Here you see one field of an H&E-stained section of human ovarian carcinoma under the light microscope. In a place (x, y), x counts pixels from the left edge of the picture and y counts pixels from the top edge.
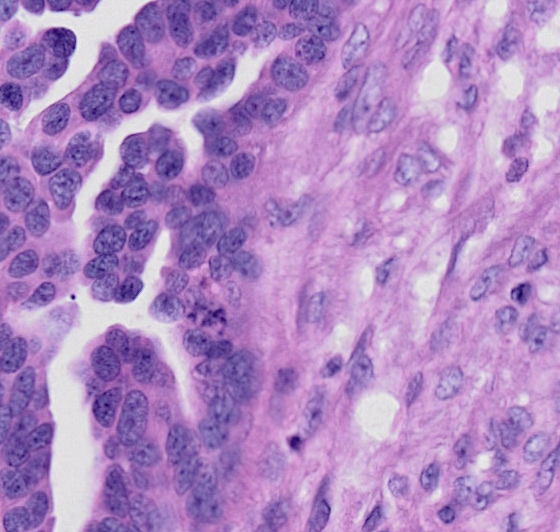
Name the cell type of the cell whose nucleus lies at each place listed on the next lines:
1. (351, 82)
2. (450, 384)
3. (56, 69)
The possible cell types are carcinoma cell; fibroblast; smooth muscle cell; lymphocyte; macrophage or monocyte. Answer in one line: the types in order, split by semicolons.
fibroblast; fibroblast; carcinoma cell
